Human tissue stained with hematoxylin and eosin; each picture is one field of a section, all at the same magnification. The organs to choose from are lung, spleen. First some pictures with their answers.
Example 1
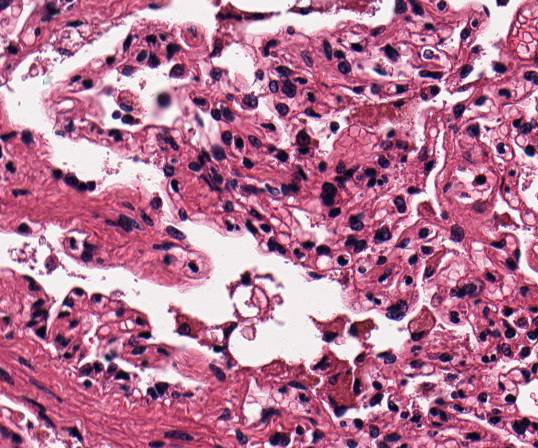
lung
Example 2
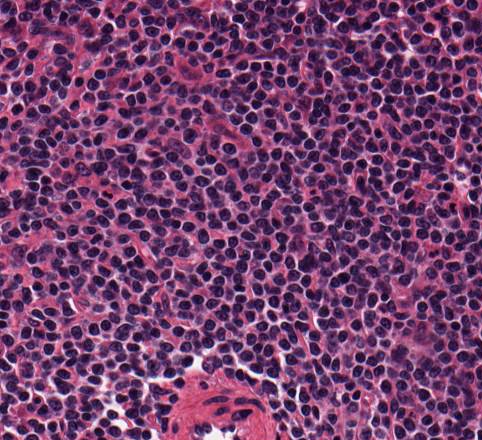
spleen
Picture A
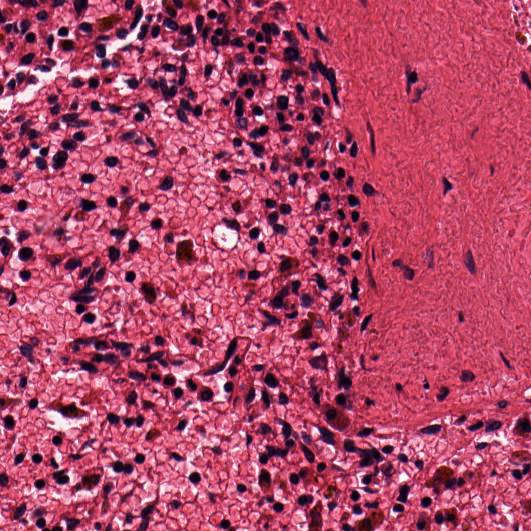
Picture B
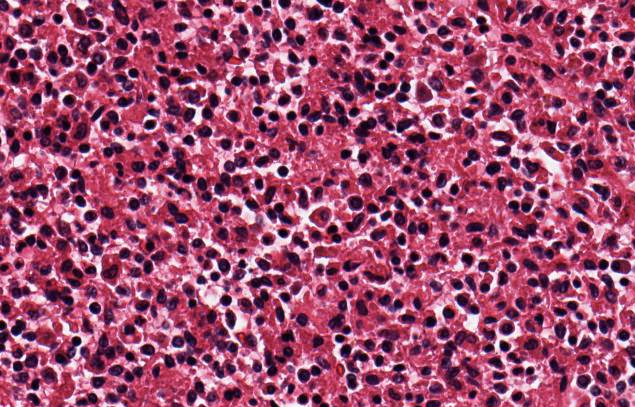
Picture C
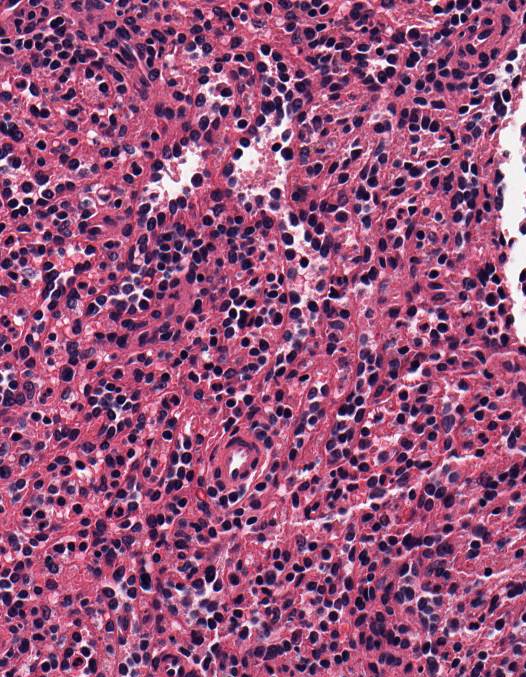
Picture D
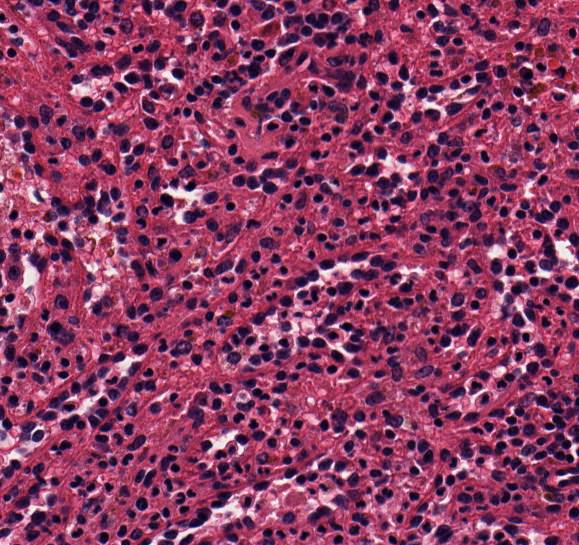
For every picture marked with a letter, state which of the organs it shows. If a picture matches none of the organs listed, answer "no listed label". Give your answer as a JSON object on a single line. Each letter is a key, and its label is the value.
{"A": "spleen", "B": "spleen", "C": "spleen", "D": "spleen"}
